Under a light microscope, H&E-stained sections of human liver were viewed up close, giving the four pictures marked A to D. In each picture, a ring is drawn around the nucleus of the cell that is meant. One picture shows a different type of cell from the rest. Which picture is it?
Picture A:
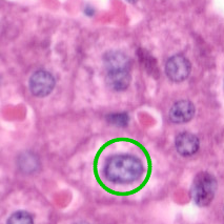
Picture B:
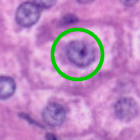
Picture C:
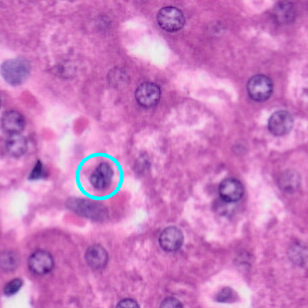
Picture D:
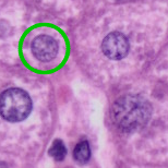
C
